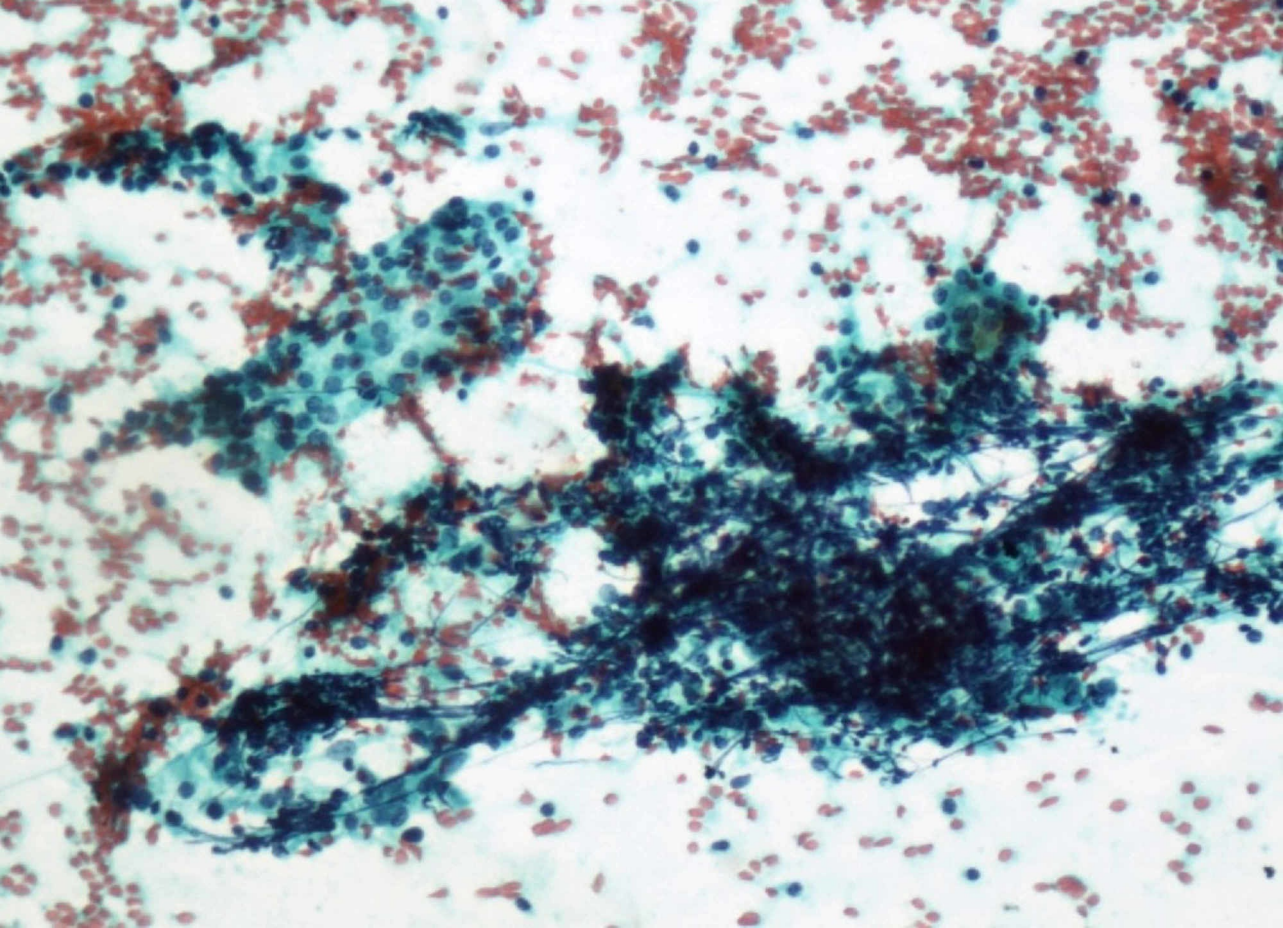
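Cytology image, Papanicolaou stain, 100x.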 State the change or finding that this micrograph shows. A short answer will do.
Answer: Crushed fragments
